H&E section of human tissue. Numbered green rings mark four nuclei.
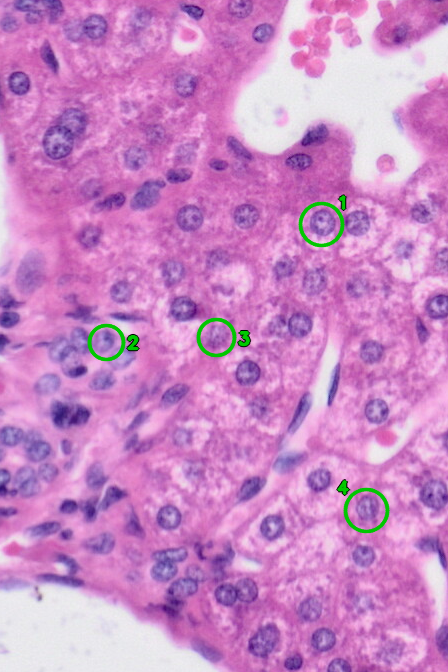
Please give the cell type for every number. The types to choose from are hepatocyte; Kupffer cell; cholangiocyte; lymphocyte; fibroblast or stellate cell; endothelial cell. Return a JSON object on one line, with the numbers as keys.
{"1": "hepatocyte", "2": "cholangiocyte", "3": "hepatocyte", "4": "hepatocyte"}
